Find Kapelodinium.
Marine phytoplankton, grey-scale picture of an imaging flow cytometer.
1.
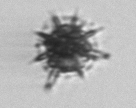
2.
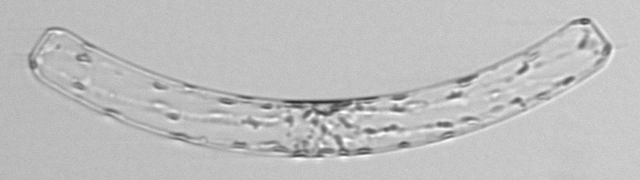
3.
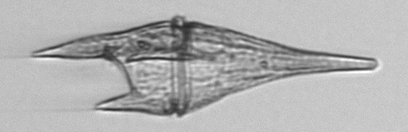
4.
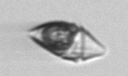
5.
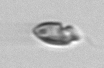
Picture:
5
